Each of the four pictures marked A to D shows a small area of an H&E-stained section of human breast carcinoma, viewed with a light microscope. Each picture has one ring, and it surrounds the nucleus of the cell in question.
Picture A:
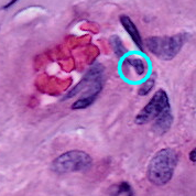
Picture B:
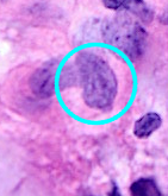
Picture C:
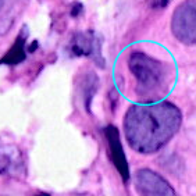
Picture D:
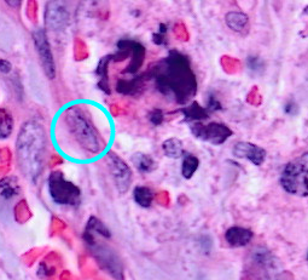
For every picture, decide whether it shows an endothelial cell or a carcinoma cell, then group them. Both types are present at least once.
A: endothelial cell
B: carcinoma cell
C: carcinoma cell
D: endothelial cell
